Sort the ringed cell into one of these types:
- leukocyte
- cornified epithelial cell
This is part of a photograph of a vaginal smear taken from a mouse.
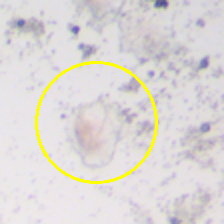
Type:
cornified epithelial cell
